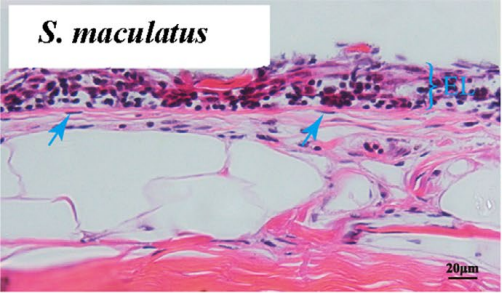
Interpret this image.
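Fish skin whose surface layer is crowded with small, darkly stained purple nuclei lying close together. Beneath it are large clear spaces divided by thin pink septa, and deeper still bands of pink fibrous tissue.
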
